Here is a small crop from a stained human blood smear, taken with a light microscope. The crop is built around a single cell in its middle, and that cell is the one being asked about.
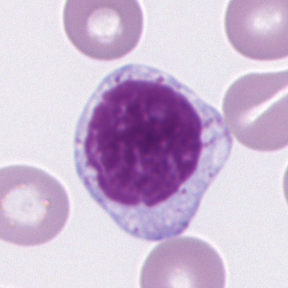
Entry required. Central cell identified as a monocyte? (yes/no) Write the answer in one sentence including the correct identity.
No, the cell centered in the crop is a large granular lymphocyte, not a monocyte.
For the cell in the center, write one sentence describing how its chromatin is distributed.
This nucleus has coarsely clumped chromatin.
